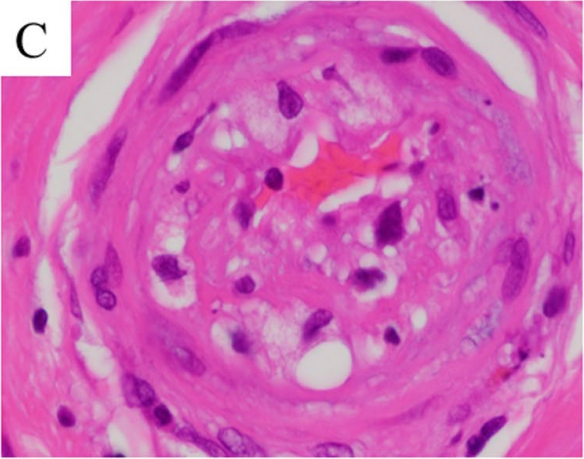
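A small vessel in cross section shows a narrowed lumen caused by a thickened inner wall filled with foamy cells. The lumen is reduced to a small central slit holding a few red blood cells. Around it lie many cells with pale, bubbly, vacuolated cytoplasm and irregular dark nuclei, some with clear round vacuoles. Outside this thickened inner layer, the wall is formed by concentric pink layers with elongated, flattened nuclei wrapping around the vessel, and a clear space separates the vessel from the surrounding pink tissue.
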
